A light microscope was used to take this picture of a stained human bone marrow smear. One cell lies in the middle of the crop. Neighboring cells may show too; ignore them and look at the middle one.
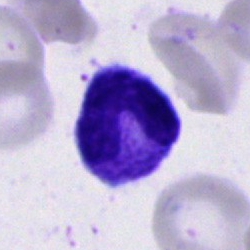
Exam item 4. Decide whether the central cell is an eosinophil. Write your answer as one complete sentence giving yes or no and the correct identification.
No, it is a band neutrophil that sits in the middle, not an eosinophil.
